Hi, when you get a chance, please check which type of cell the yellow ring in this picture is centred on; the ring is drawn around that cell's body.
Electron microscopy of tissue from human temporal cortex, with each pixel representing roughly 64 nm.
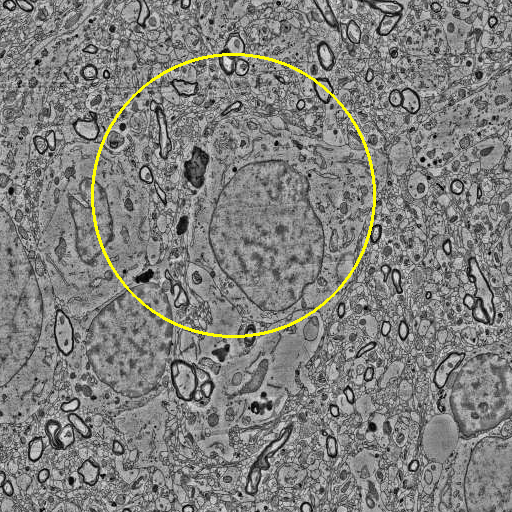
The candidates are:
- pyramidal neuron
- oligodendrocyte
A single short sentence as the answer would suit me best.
The ring is drawn around the body of a pyramidal neuron.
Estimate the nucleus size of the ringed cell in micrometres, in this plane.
The nucleus measures about 10 by 7 micrometres in this plane.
